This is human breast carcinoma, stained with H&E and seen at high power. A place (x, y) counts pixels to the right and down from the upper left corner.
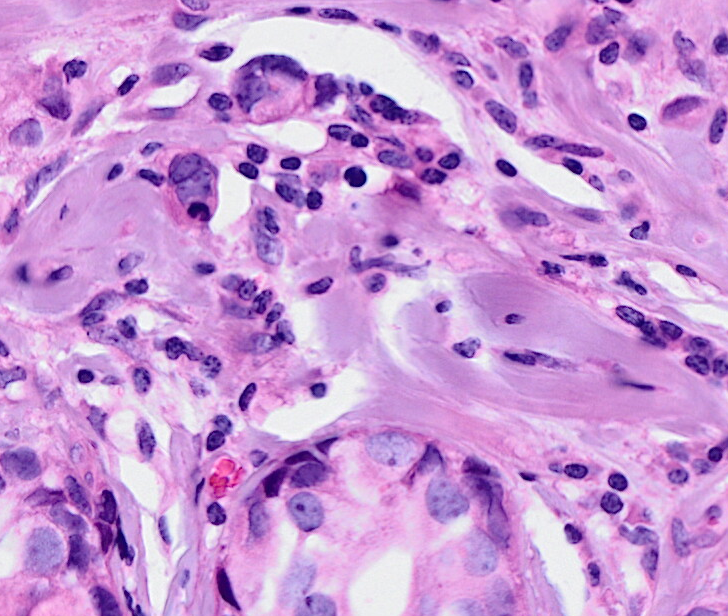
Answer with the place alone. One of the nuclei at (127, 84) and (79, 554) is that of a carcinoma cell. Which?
(79, 554)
